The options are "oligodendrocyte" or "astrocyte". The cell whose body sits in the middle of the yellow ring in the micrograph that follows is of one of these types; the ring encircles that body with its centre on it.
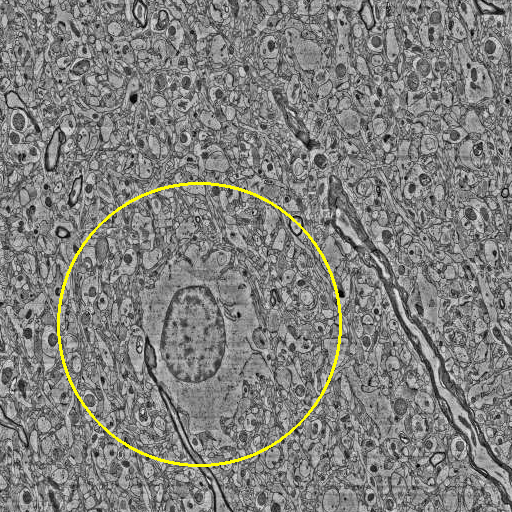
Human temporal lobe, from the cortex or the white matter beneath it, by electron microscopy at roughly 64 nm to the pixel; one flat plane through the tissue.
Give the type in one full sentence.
Going by the micrograph, the cell centred in the yellow ring is an astrocyte.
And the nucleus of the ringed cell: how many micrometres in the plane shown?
The ringed cell's nucleus is roughly 6 by 4 micrometres and clearly longer than it is wide in this plane.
